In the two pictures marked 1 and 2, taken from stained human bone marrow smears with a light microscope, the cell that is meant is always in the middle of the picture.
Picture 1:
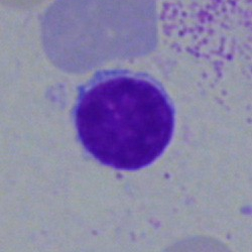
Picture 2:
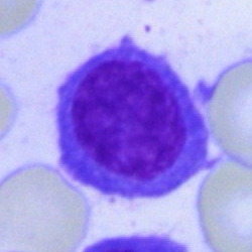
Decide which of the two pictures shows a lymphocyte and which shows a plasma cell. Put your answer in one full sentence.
Picture 2 shows a plasma cell, while picture 1 shows a lymphocyte.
